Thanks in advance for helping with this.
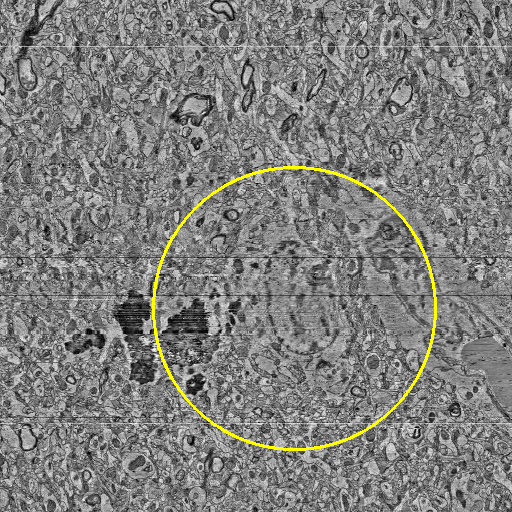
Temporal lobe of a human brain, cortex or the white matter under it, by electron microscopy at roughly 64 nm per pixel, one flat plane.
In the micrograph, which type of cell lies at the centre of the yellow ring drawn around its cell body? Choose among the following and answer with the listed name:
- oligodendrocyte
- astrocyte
astrocyte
